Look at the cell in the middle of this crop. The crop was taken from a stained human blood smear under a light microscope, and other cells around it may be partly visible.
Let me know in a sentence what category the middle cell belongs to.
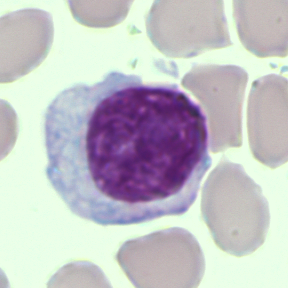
The cell nearest the centre of this crop is a plasma cell.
